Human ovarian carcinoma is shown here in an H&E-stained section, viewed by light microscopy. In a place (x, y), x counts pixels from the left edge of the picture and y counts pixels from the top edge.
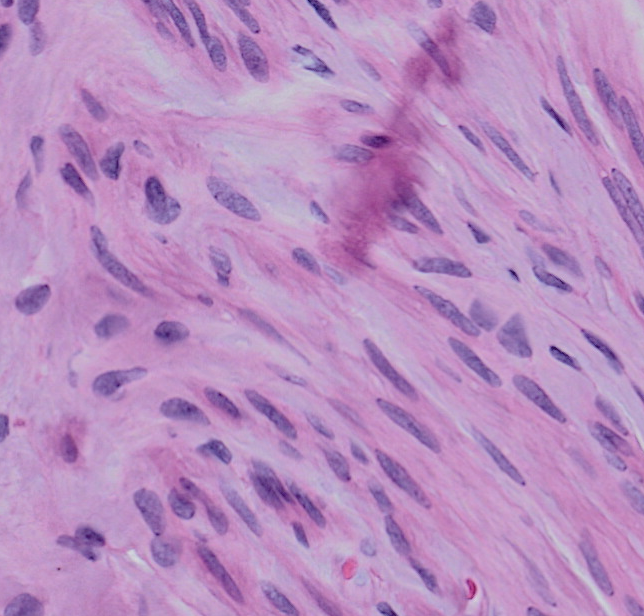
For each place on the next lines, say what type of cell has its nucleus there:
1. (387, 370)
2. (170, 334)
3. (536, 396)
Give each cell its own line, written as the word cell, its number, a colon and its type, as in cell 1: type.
cell 1: smooth muscle cell
cell 2: fibroblast
cell 3: smooth muscle cell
